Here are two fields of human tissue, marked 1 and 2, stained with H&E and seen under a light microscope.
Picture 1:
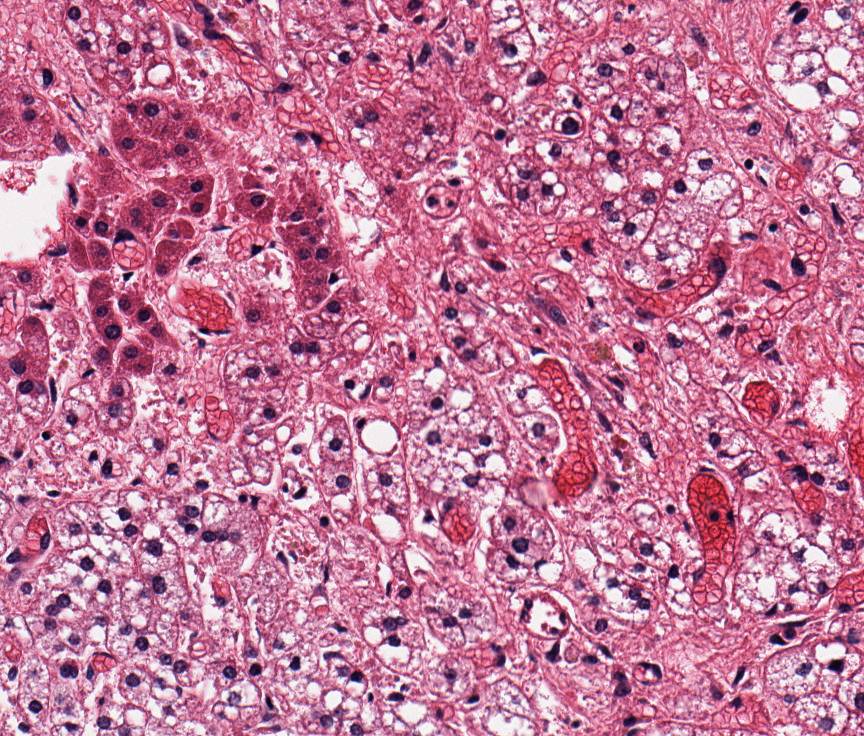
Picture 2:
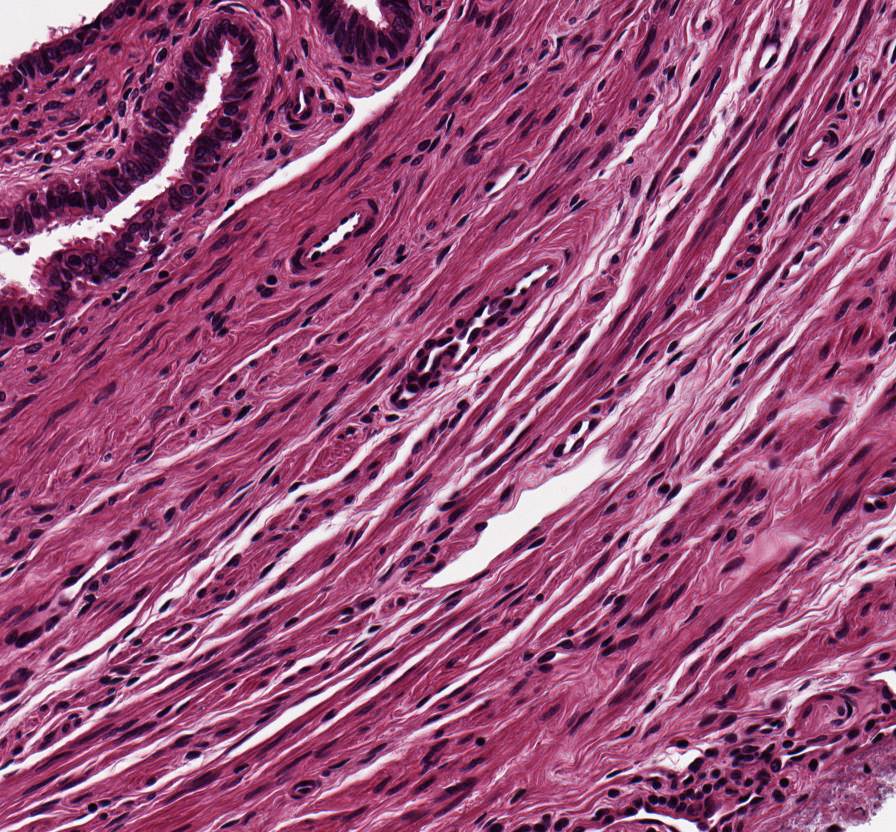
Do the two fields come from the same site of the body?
no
